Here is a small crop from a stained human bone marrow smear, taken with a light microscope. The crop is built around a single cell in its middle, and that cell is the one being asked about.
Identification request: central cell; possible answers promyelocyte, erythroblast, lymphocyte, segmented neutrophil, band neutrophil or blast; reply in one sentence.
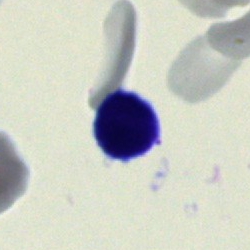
The middle of this crop holds a lymphocyte.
